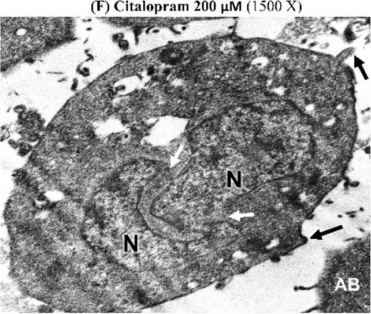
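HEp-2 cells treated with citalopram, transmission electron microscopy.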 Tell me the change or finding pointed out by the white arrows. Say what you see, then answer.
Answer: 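The white arrows point at a fold of nuclear envelope running through the nucleus. The nucleus appears split into separate lobes.
Answer: nuclear fragmentation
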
